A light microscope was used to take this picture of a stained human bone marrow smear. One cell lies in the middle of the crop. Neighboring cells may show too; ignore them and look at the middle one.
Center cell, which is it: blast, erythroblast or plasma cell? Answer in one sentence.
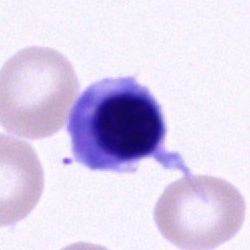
The cell positioned in the middle of the field is an erythroblast.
